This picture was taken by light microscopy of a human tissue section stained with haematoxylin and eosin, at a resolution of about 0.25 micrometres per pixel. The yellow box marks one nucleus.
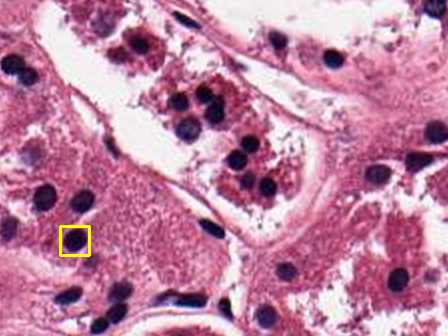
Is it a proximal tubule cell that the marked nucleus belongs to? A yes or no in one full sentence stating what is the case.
Yes, the nucleus bearing the mark is that of a proximal tubule cell.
